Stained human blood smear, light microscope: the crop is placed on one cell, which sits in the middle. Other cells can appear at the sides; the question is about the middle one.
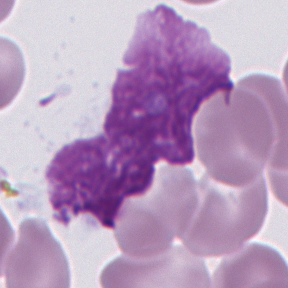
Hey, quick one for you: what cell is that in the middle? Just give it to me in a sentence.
To answer, the cell in the center of the crop is a smudge cell.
